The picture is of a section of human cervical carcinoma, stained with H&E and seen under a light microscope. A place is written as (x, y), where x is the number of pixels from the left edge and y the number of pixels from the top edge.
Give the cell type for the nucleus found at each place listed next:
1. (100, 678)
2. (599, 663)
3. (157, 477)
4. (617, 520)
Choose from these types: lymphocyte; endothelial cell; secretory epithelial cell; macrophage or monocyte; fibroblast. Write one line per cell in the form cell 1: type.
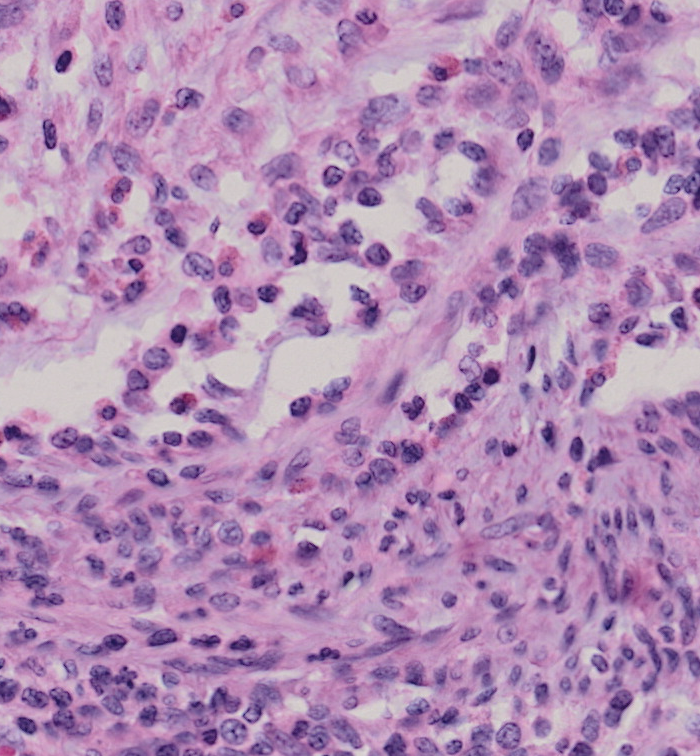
cell 1: lymphocyte
cell 2: lymphocyte
cell 3: lymphocyte
cell 4: fibroblast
